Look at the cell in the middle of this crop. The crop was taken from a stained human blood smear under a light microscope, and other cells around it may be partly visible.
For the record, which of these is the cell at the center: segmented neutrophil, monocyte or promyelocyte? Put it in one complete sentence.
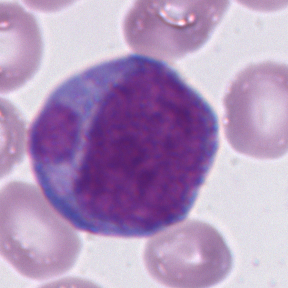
The cell centred in this crop is categorized as a promyelocyte.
